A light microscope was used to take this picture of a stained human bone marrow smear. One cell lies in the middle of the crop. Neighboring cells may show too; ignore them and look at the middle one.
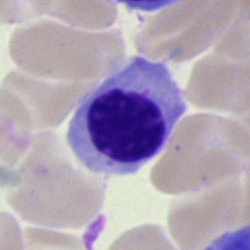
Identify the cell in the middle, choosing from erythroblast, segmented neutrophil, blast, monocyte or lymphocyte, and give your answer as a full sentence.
The cell in the middle of the field of view is an erythroblast.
